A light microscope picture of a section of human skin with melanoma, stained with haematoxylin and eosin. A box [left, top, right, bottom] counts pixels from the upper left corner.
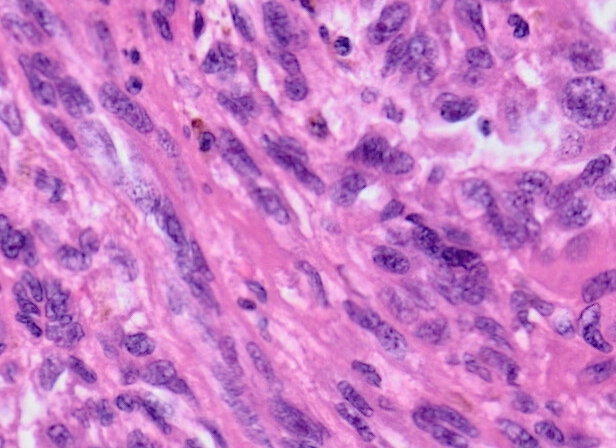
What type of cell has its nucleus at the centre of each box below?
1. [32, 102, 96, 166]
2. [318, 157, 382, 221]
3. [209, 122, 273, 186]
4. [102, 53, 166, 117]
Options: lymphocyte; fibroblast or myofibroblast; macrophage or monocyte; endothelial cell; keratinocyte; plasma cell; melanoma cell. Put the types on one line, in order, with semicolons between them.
melanoma cell; melanoma cell; melanoma cell; lymphocyte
